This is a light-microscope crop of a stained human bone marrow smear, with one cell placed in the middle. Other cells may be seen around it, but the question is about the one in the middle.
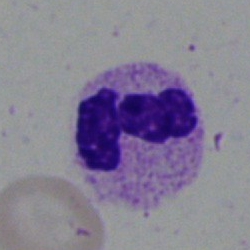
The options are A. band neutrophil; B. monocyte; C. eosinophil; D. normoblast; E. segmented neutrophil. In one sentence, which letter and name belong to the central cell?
The middle cell of the crop is a segmented neutrophil; accordingly, option E is correct.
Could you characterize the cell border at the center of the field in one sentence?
Nothing juts out from the margin, which is smooth throughout.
